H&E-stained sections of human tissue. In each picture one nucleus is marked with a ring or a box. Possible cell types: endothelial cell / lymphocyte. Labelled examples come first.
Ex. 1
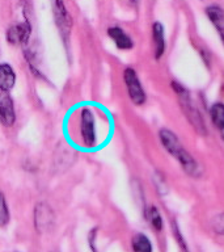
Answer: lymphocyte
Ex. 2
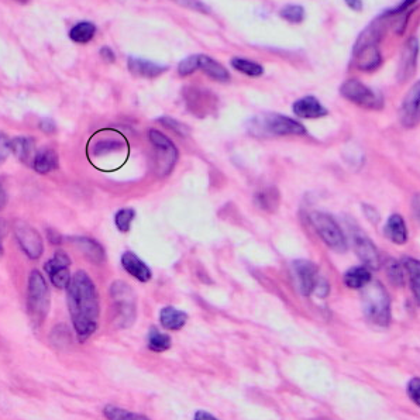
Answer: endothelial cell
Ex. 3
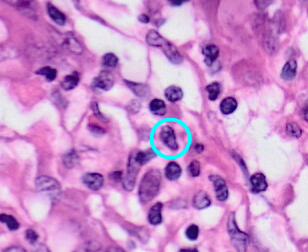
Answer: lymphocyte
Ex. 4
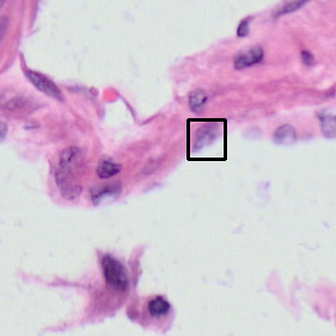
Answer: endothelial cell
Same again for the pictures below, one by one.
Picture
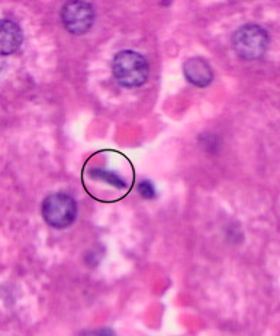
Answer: endothelial cell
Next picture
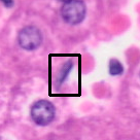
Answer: endothelial cell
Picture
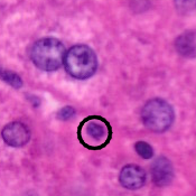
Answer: lymphocyte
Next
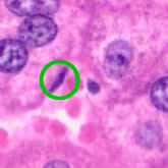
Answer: endothelial cell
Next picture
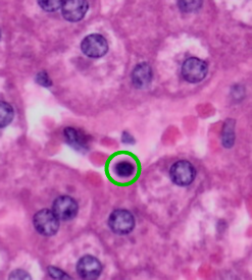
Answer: lymphocyte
